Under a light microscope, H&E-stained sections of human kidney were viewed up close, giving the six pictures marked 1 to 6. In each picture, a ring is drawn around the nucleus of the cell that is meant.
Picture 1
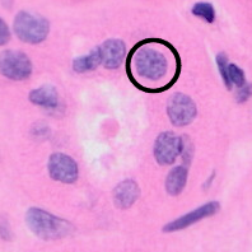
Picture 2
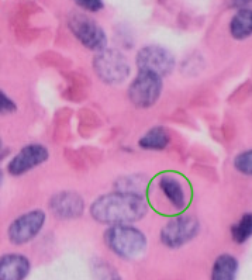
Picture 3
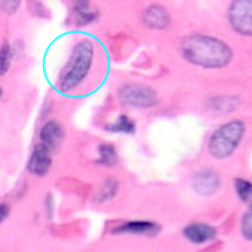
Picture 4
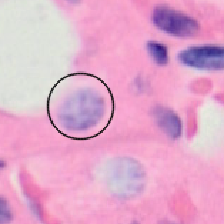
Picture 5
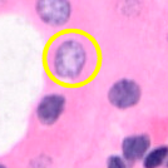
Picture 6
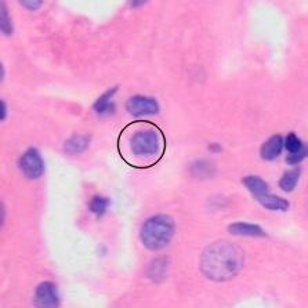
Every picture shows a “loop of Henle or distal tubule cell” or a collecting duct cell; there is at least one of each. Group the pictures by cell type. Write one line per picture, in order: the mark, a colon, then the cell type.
1: loop of Henle or distal tubule cell
2: collecting duct cell
3: collecting duct cell
4: loop of Henle or distal tubule cell
5: loop of Henle or distal tubule cell
6: loop of Henle or distal tubule cell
